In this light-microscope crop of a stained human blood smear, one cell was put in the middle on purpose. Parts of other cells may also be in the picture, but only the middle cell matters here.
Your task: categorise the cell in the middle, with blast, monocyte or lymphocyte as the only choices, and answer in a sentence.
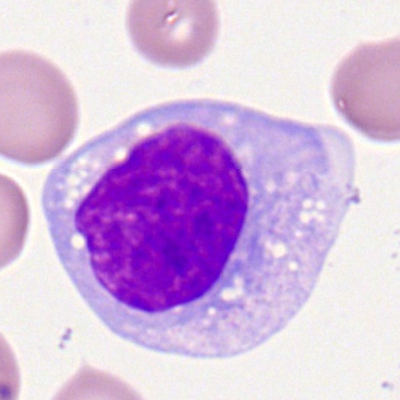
Answering briefly, the cell in the middle is a monocyte.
